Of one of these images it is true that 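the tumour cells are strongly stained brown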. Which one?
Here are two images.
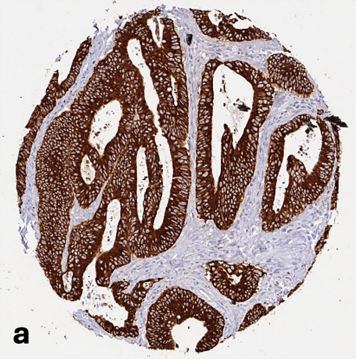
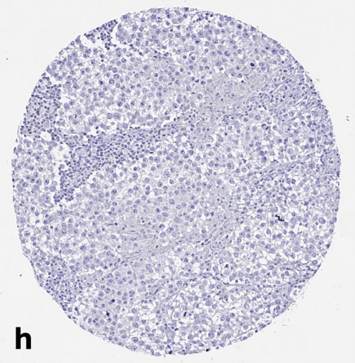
The first image.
